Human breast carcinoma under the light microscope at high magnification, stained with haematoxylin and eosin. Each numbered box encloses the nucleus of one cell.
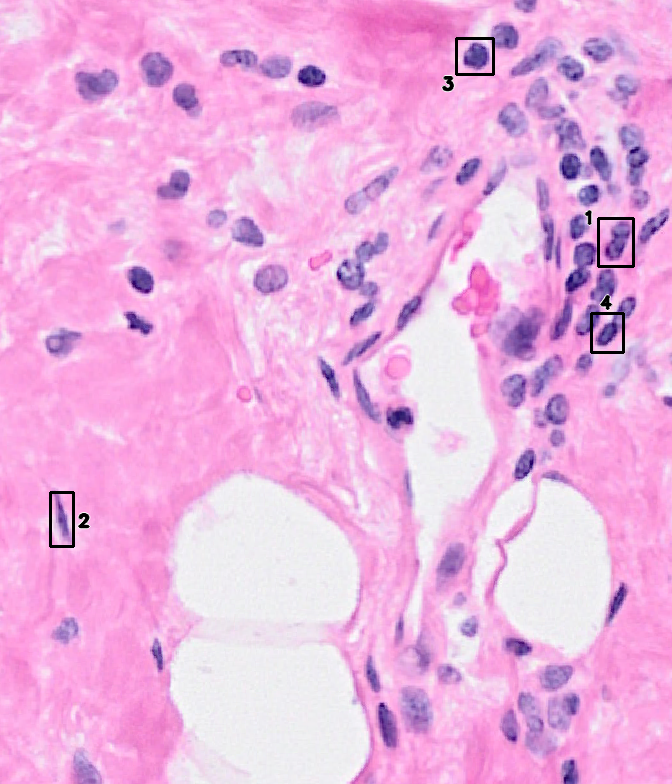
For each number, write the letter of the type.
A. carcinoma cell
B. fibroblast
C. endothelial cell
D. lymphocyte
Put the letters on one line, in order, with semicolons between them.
D; B; D; D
